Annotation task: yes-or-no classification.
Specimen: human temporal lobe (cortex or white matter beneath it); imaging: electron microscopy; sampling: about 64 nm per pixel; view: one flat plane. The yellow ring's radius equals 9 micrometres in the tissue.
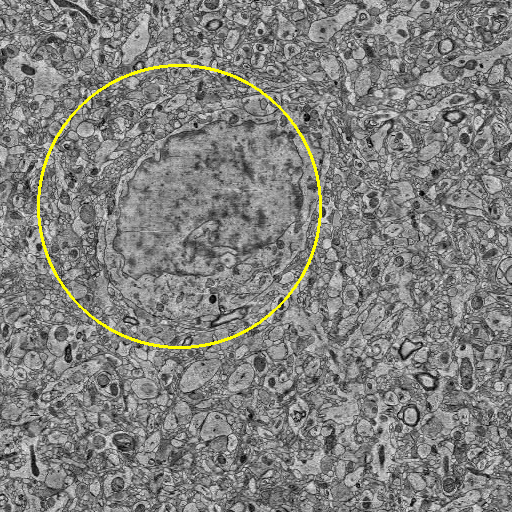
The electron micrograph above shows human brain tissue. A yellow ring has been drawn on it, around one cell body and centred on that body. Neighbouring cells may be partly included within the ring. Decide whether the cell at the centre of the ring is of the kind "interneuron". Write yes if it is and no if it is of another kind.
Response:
yes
